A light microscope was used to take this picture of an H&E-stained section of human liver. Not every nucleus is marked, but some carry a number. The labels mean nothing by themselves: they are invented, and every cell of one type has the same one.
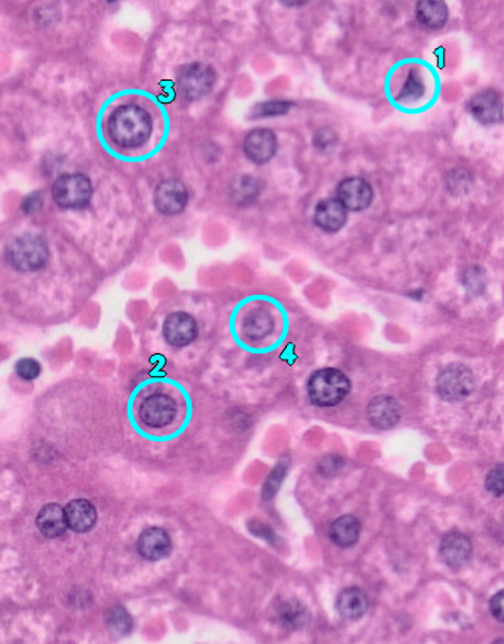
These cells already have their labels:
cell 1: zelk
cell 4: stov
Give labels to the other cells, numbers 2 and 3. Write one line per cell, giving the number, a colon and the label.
2: stov
3: stov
